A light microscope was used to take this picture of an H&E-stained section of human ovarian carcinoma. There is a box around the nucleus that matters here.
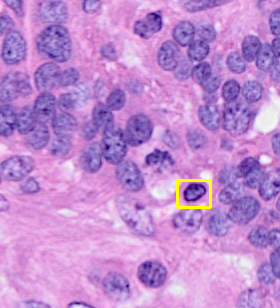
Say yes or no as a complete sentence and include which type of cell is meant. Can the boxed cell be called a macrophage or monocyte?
Yes, that the boxed cell is a macrophage or monocyte is correct.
